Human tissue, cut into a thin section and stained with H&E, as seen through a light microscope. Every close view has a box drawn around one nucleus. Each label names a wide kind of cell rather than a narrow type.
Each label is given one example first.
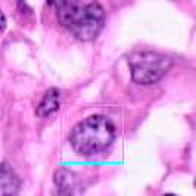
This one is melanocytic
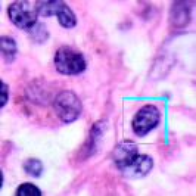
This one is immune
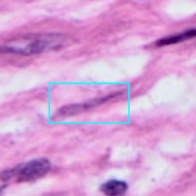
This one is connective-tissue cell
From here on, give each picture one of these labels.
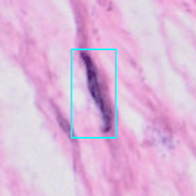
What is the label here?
connective-tissue cell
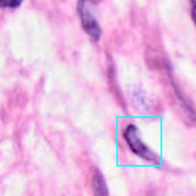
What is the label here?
connective-tissue cell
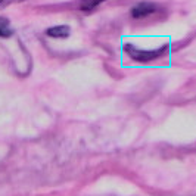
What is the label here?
connective-tissue cell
